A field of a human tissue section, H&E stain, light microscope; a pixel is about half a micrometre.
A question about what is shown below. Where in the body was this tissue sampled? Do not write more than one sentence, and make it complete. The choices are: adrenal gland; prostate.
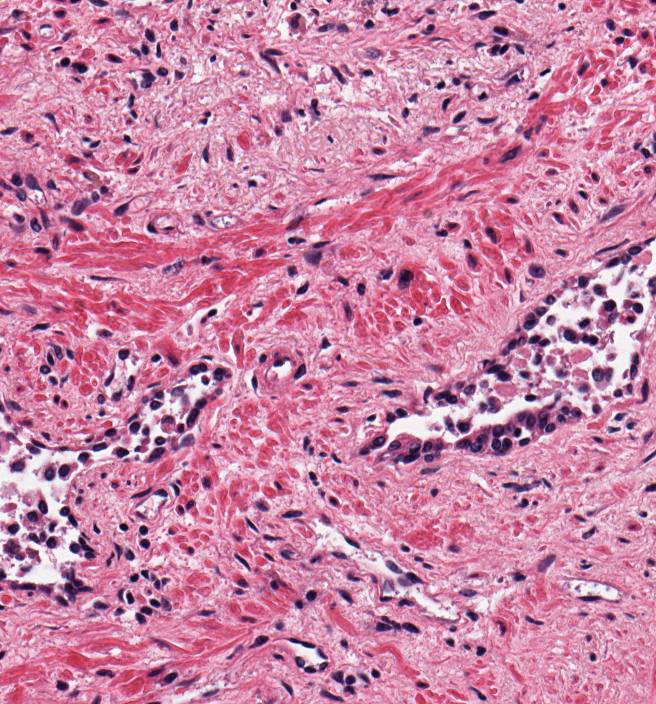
Sampled from the prostate is the tissue in this section.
